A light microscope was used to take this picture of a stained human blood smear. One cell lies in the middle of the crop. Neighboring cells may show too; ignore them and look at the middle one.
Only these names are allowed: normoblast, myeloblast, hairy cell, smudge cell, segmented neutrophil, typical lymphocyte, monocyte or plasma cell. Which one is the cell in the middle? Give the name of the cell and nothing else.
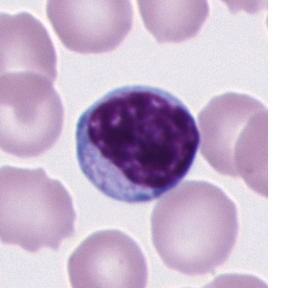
typical lymphocyte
